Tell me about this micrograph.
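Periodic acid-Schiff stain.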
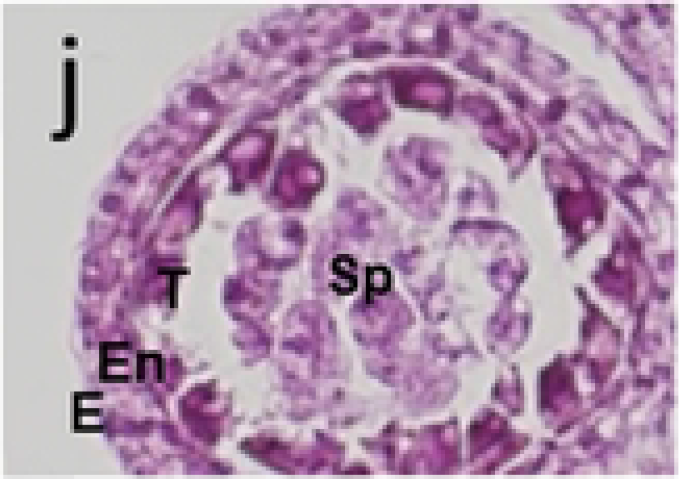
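Here an anther locule is lined by a conspicuous ring of tapetal cells, large and blocky, with deep magenta cytoplasm. Outside them lie the thin epidermis and endothecium, and inside, a gap separates the tapetum from a cluster of rounded sporogenous cells in the locule centre.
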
